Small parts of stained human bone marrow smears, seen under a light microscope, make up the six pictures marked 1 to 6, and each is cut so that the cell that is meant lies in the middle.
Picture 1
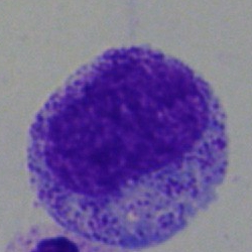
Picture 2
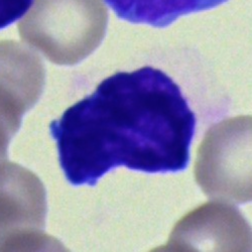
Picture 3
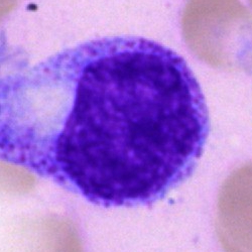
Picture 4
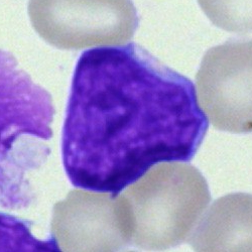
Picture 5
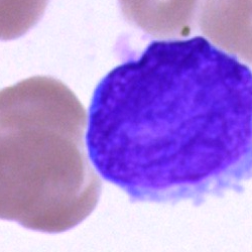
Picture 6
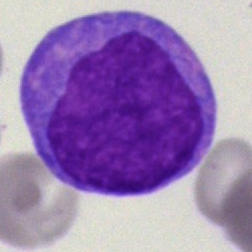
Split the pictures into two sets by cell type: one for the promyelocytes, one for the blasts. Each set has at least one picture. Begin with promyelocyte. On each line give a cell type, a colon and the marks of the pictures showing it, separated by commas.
promyelocyte: 1, 3
blast: 2, 4, 5, 6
